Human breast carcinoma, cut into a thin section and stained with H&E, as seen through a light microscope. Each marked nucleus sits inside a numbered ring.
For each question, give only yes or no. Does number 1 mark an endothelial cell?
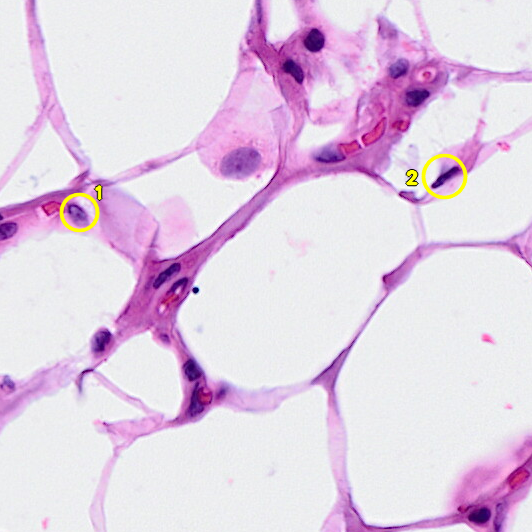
yes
